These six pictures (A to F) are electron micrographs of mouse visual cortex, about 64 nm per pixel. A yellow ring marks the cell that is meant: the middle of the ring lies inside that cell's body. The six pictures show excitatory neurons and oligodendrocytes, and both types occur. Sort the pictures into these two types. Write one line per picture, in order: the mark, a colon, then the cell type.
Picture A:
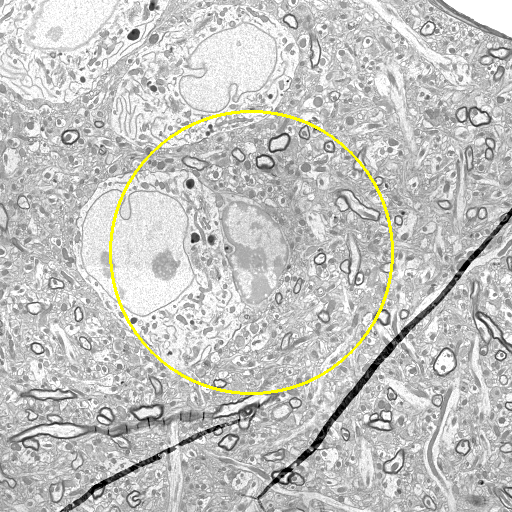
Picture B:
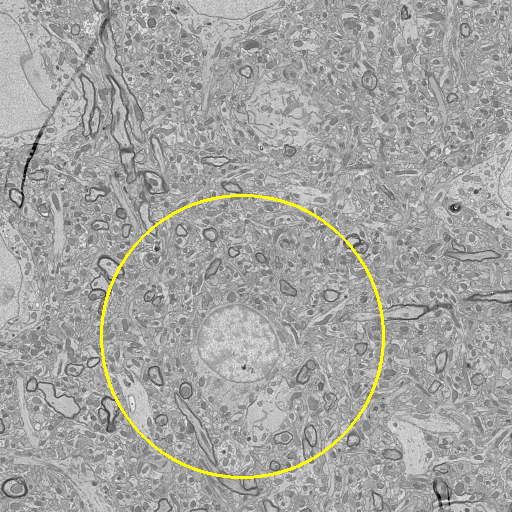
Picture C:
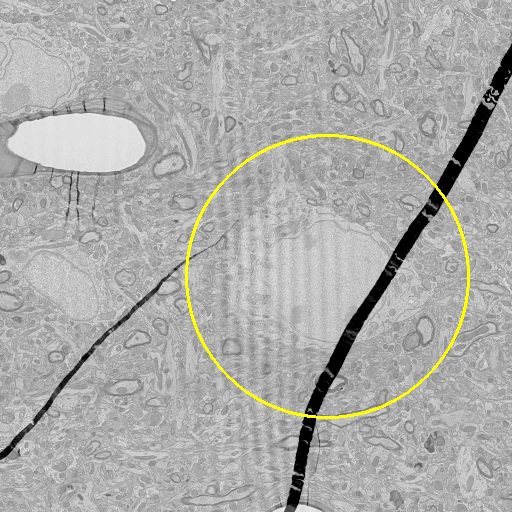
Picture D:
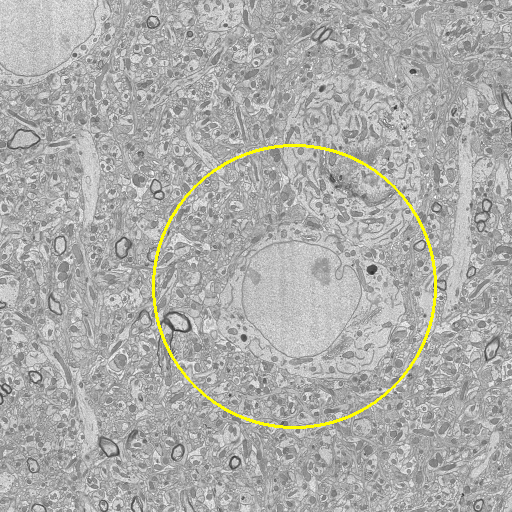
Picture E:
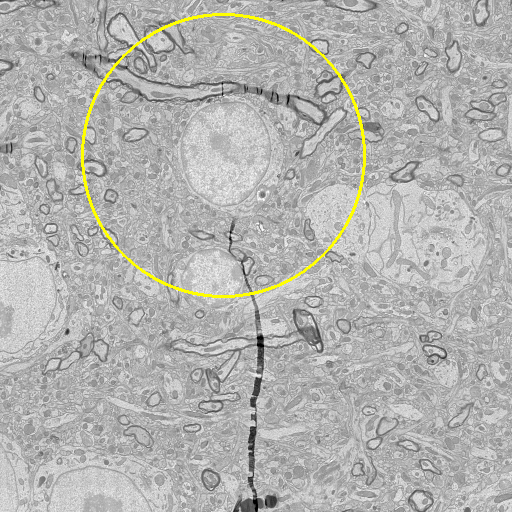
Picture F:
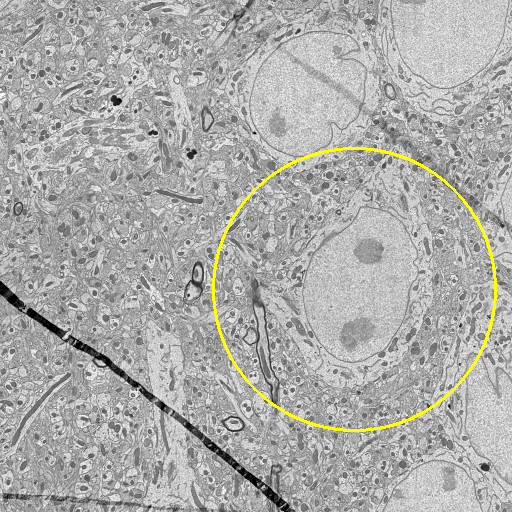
A: oligodendrocyte
B: oligodendrocyte
C: excitatory neuron
D: excitatory neuron
E: oligodendrocyte
F: excitatory neuron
